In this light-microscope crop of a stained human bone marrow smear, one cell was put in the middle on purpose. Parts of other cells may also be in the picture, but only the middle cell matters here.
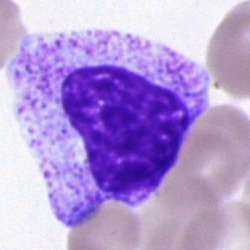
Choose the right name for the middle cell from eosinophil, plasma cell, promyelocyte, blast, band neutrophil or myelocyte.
myelocyte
